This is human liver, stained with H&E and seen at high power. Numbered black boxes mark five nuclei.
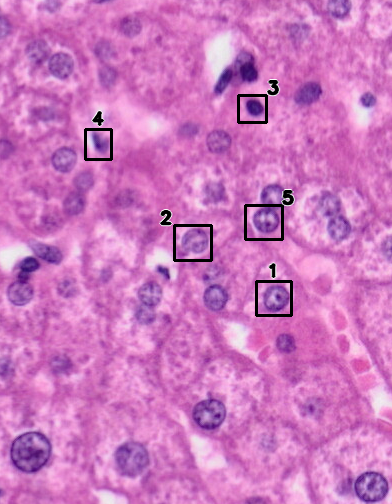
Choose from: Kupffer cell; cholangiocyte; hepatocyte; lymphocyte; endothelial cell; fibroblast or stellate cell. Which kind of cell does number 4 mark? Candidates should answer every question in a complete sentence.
The cell that carries the label 4 is an endothelial cell.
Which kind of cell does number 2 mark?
The label 2 in this section denotes a hepatocyte.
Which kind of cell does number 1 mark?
The cell that is numbered 1 is a hepatocyte.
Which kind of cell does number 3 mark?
The cell pointed out as number 3 is a lymphocyte.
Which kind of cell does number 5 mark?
The cell carrying label 5 is identified as a hepatocyte.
